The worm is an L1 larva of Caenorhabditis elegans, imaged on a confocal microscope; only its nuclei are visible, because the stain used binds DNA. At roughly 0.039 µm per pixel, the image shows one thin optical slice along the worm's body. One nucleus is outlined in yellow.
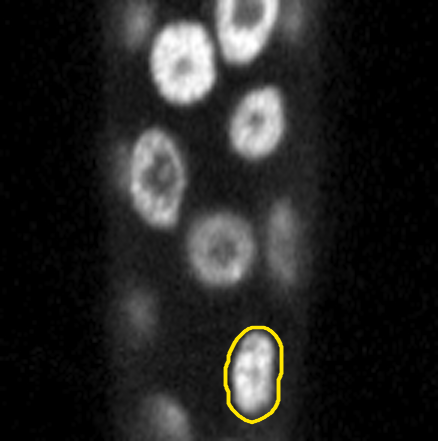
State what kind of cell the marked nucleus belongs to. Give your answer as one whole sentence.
This is the nucleus of an enteric muscle cell.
